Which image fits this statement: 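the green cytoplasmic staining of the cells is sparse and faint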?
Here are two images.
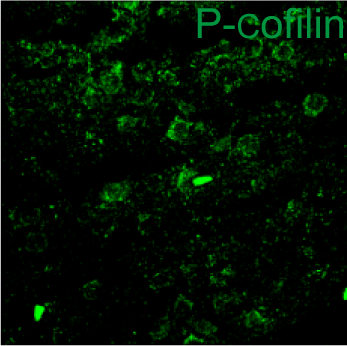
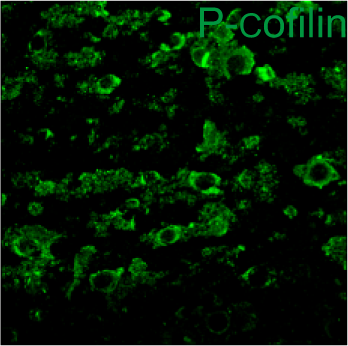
the first image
